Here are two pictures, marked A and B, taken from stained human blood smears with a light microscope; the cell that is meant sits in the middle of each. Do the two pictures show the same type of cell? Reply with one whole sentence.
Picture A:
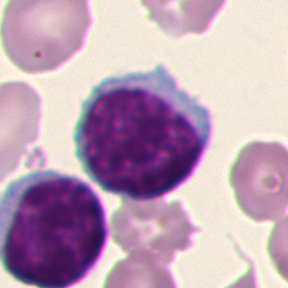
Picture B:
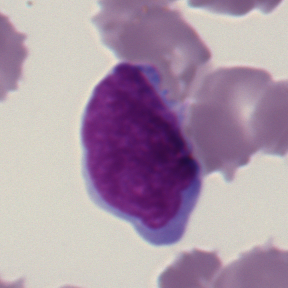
No, picture A shows a typical lymphocyte and picture B shows a myeloblast.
